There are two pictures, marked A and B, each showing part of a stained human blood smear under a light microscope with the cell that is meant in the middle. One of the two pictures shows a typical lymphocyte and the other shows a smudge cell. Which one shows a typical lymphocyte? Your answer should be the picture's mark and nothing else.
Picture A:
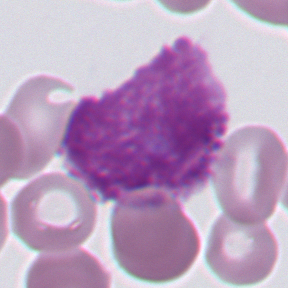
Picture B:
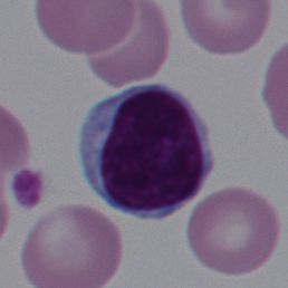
B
